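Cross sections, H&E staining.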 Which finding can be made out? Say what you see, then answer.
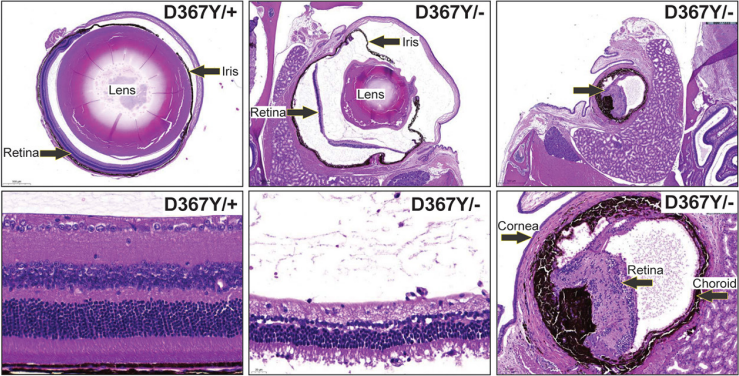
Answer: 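Microphthalmia. One small eye is surrounded by a thick pigmented rim with a disorganized interior.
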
